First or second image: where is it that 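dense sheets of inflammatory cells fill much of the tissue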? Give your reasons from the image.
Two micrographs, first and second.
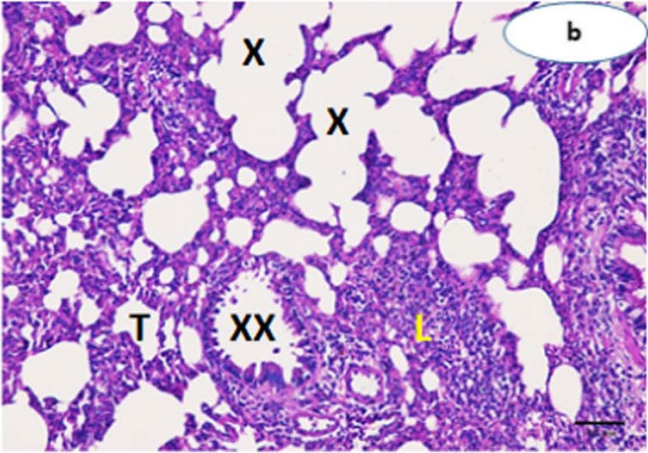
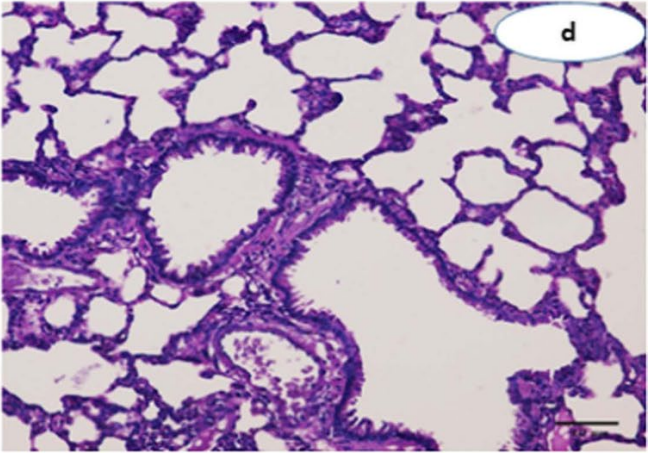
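The first image. Second image: thin alveolar walls with only a few scattered nuclei around the airways. First image: a large area packed with small round dark nuclei that replaces airspaces.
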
